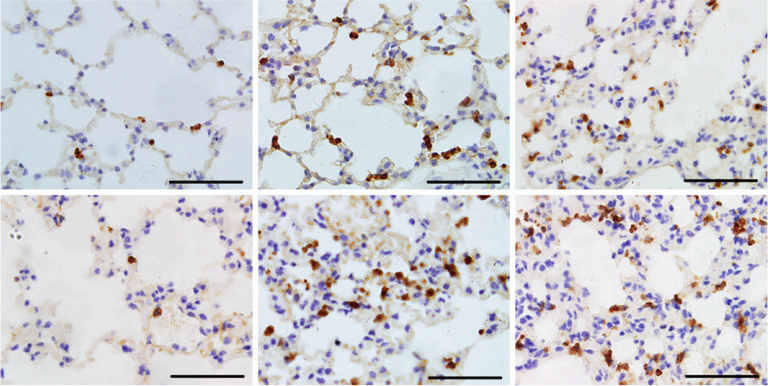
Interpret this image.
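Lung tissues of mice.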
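The open airspaces are separated by thin septa lined by flattened cells. The brown cells are small and round, lying singly along the septa in some images. In others they are much more numerous, packed within thickened, densely cellular septa where the airspaces are narrowed, and a pale brown haze stains the surrounding tissue.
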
